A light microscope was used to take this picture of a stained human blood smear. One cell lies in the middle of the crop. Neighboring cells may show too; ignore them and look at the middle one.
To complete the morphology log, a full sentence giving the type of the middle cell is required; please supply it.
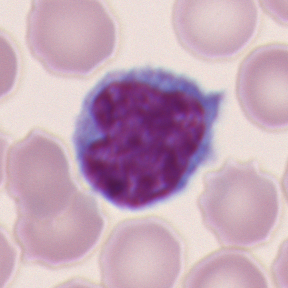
The crop centres on a single cell, and that cell is a typical lymphocyte.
